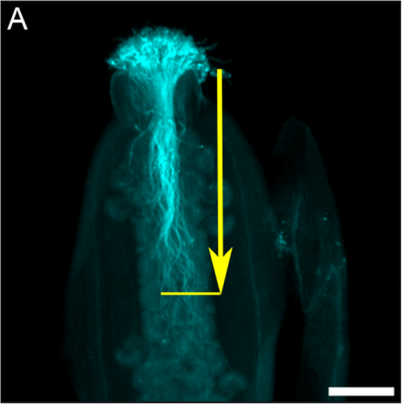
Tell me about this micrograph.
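This is a pollinated pistil in which many bright cyan pollen tubes form a tuft at the top and grow downward as a bundle of thin, parallel threads. The bundle runs through the centre of the pistil, between faintly fluorescent rows of rounded ovules on either side. The pollen tubes thin out as they extend downward, with the longest reaching well into the upper part of the ovary. The surrounding pistil wall shows only weak, diffuse fluorescence.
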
